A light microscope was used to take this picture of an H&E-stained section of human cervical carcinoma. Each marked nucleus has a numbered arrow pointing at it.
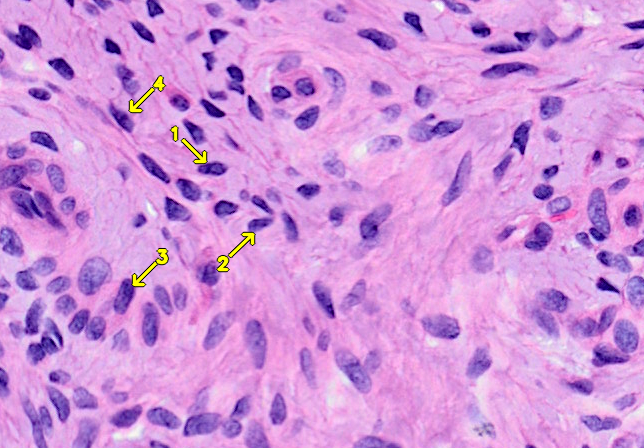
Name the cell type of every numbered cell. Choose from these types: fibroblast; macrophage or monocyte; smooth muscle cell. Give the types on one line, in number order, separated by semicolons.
fibroblast; fibroblast; smooth muscle cell; fibroblast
